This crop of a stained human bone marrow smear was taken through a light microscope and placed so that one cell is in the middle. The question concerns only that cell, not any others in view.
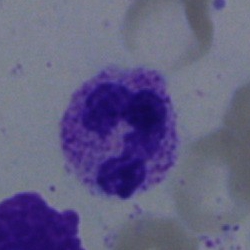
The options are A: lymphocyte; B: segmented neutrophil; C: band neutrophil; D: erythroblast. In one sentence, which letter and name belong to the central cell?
The cell in the middle is a segmented neutrophil, and so option B is correct.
